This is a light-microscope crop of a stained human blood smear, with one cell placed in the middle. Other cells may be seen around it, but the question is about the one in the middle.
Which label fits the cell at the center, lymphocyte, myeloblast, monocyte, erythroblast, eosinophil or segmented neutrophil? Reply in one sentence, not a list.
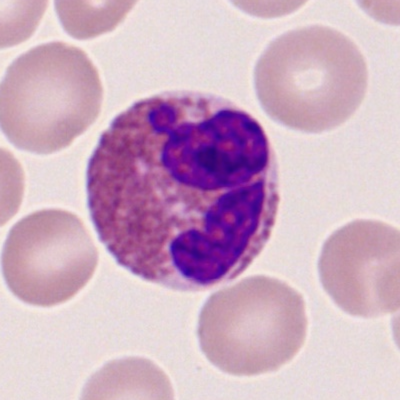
Centrally within this crop lies an eosinophil.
